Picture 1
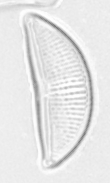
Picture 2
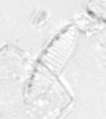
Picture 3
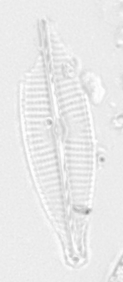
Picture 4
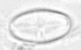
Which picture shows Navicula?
Picture 3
